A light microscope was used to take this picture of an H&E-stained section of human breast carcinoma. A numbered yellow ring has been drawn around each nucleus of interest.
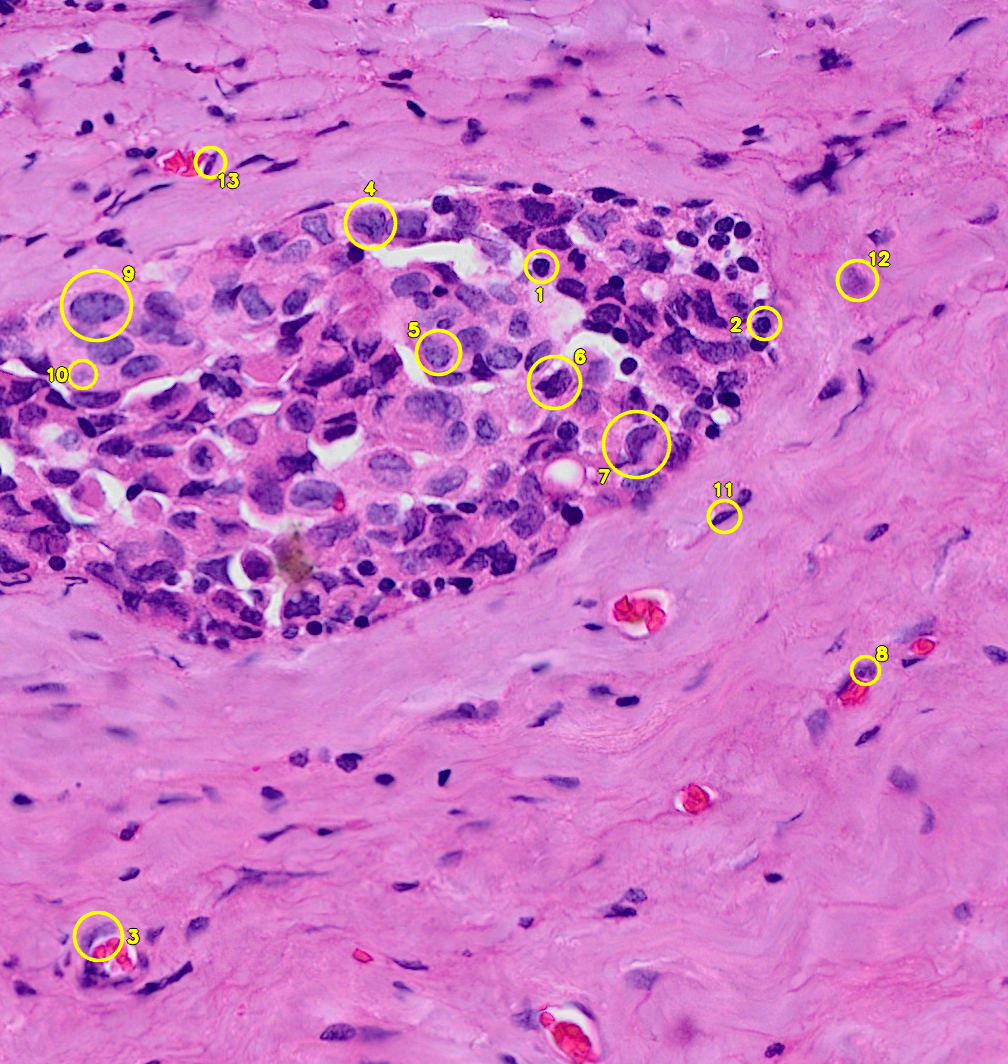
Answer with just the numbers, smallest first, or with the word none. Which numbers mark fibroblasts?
11, 12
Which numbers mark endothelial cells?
3, 8, 13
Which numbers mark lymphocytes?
1, 2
